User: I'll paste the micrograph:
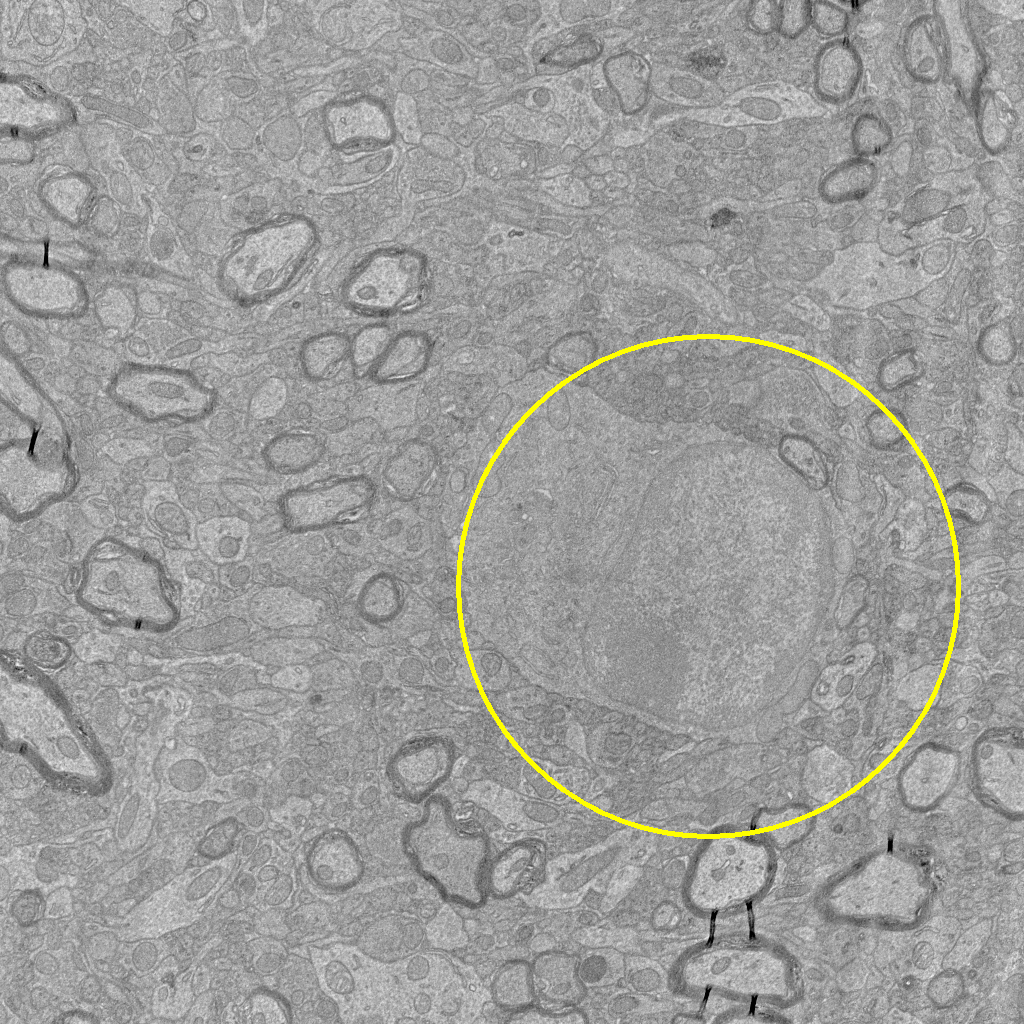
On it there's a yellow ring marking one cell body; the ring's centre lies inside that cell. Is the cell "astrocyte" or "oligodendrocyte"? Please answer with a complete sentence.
The cell at the centre of the yellow ring is an oligodendrocyte.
